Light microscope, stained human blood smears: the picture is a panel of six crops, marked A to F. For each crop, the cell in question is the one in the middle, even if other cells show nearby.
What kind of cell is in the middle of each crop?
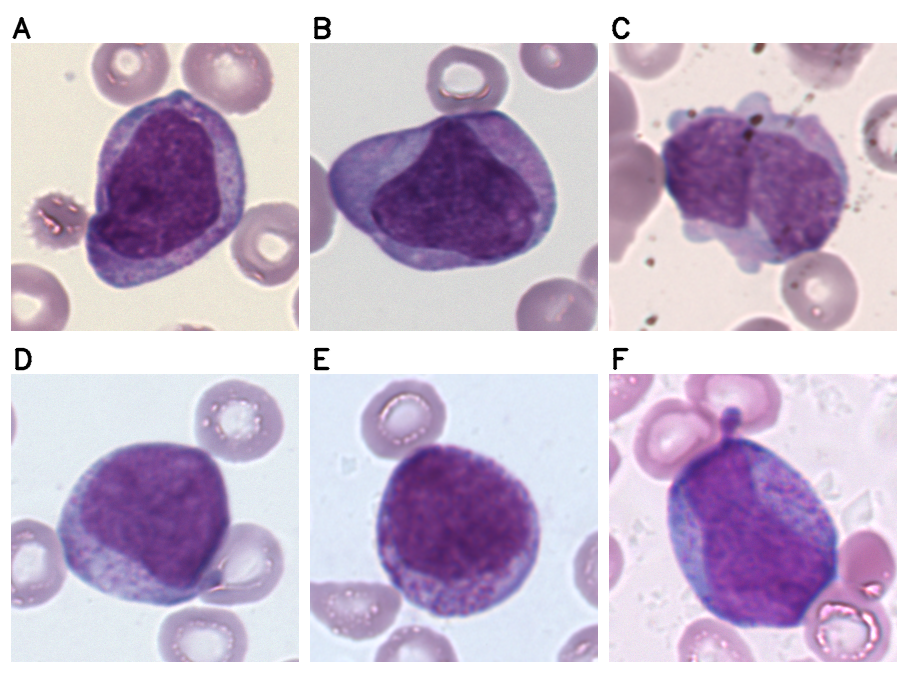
A: atypical promyelocyte
B: atypical promyelocyte
C: atypical promyelocyte
D: promyelocyte
E: promyelocyte
F: promyelocyte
